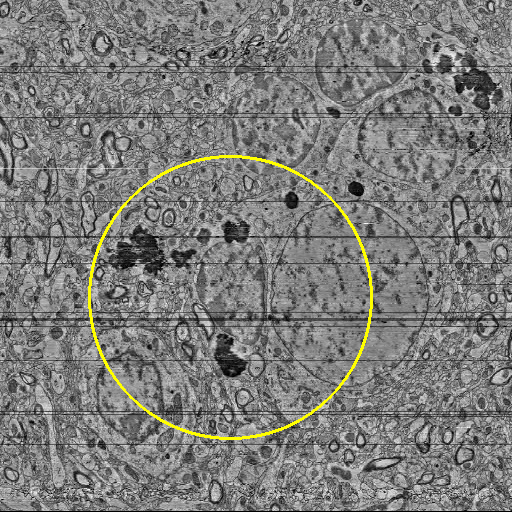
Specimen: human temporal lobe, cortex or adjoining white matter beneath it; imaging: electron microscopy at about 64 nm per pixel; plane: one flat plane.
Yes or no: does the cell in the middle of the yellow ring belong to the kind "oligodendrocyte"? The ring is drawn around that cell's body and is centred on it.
yes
